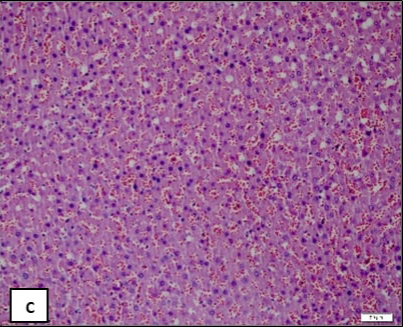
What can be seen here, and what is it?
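Liver parenchyma with hepatocytes arranged in cords, the sinusoids between them distended and filled with many bright red blood cells throughout the field, giving a congested appearance. The hepatocytes have pink cytoplasm and round, dark blue-purple nuclei. Some hepatocytes look paler. Small clear spaces are scattered in the parenchyma. The regular radiating pattern of cords and open sinusoids seen in normal liver is obscured by the crowding of red cells. Scattered small, dark nuclei among the cords may belong to inflammatory cells.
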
